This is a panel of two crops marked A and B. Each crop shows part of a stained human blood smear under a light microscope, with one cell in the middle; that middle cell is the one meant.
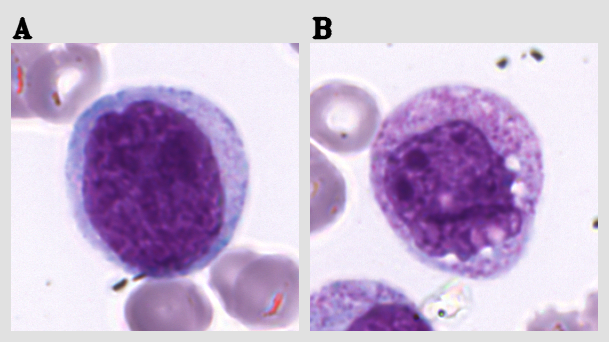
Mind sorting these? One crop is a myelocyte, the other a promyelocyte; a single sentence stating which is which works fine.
Crop A features a promyelocyte, and crop B features a myelocyte.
